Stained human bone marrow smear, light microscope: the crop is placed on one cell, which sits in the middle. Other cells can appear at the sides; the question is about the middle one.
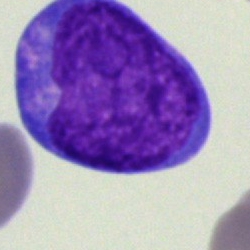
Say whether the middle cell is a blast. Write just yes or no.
yes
